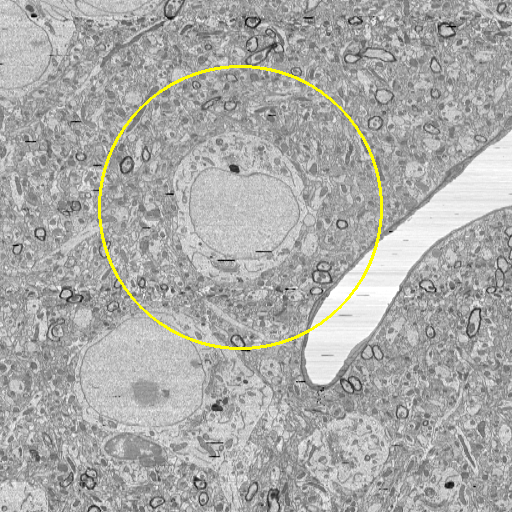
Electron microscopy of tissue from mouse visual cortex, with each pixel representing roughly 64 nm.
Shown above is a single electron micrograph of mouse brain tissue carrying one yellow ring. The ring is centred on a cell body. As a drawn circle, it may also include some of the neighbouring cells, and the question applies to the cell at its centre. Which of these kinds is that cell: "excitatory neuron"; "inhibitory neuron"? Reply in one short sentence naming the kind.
The cell marked by the ring is an excitatory neuron.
